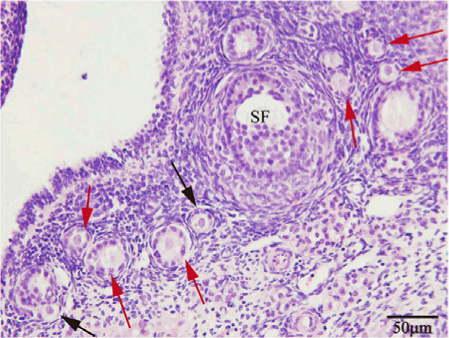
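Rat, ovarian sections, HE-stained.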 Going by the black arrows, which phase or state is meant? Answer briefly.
primordial follicles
